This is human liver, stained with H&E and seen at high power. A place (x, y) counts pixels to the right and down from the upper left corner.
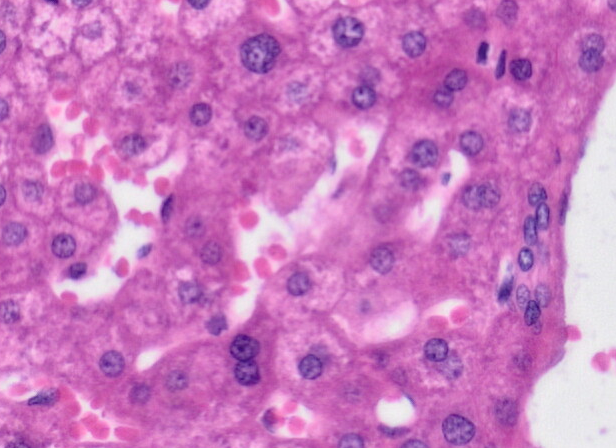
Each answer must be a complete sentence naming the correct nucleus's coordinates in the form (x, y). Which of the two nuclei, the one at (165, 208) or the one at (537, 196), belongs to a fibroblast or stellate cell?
The nucleus that belongs to a fibroblast or stellate cell sits at (165, 208).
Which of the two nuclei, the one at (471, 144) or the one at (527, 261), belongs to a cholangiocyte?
The nucleus at (527, 261) belongs to a cholangiocyte, which distinguishes it from the other nucleus.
